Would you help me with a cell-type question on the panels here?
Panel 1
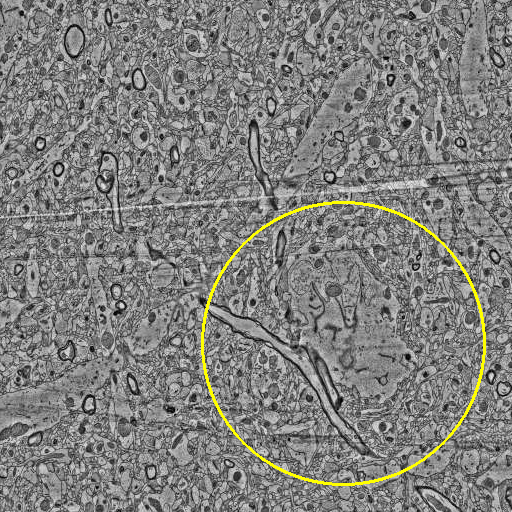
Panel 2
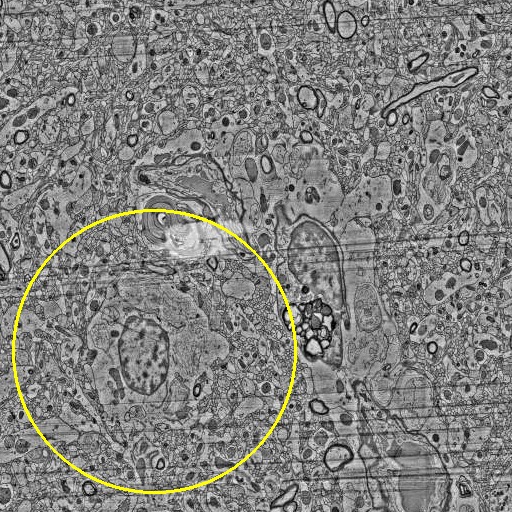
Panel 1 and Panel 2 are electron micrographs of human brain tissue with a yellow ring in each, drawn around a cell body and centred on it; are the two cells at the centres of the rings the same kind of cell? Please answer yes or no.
yes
